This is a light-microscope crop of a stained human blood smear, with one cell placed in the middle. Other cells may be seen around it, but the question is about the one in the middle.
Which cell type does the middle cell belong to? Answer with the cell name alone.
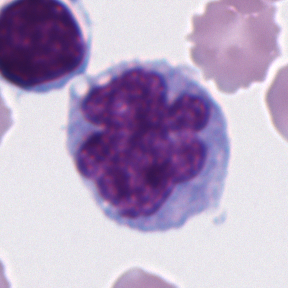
monocyte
